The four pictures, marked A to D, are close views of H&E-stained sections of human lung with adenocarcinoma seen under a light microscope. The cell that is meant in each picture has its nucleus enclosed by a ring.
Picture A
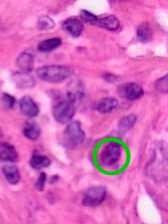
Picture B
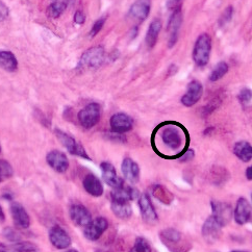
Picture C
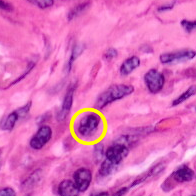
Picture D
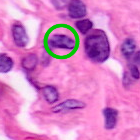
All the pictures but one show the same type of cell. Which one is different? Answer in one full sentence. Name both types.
Picture D differs, because its cell is a lymphocyte and the rest are plasma cells.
